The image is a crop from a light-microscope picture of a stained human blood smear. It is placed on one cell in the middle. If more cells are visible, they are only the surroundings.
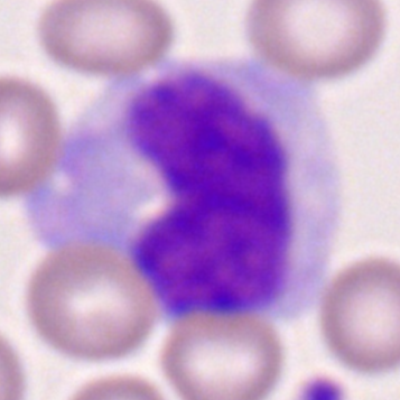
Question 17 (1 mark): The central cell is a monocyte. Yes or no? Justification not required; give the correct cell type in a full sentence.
Yes, this crop has a monocyte at its centre.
